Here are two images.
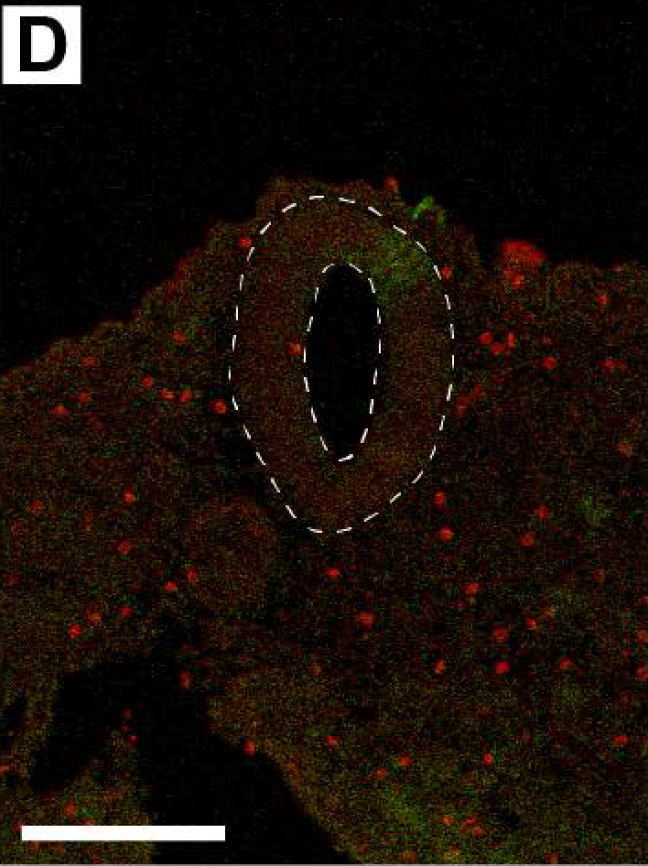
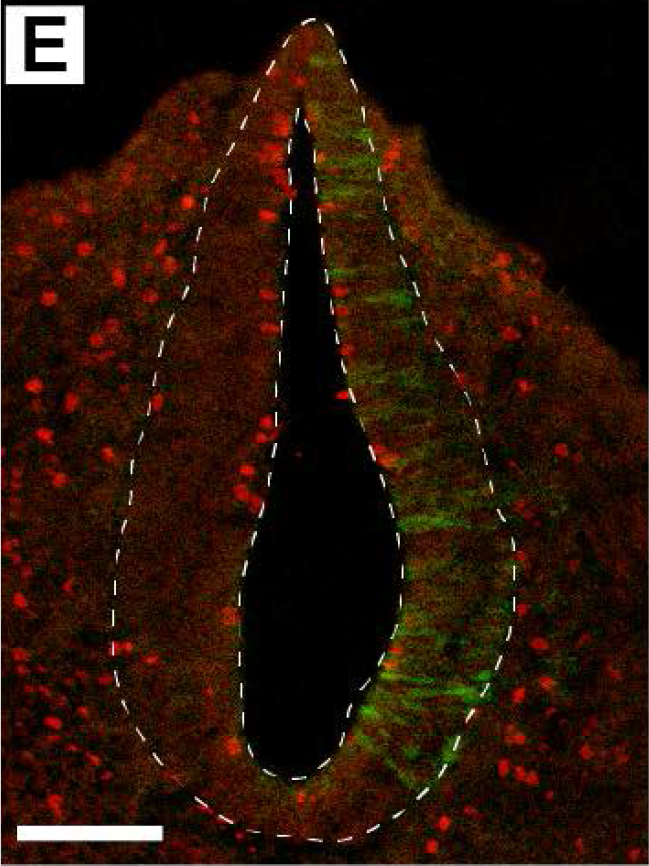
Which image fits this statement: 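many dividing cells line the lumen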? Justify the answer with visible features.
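The second image. Second image: many bright red nuclei lie along the wall of the lumen. First image: almost no red nuclei lie along the small lumen.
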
